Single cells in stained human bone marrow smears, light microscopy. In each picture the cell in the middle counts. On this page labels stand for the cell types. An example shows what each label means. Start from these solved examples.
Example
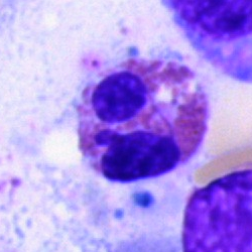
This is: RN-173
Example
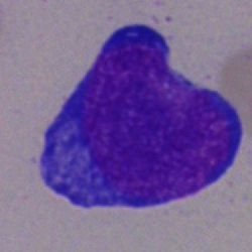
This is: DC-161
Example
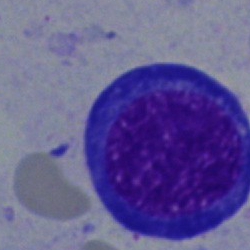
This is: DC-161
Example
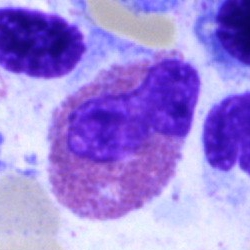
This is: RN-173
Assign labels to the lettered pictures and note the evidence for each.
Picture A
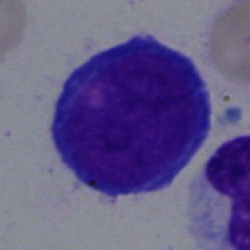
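DC-161. Reason: The nuclear chromatin looks finely textured rather than clumped into coarse dark blocks.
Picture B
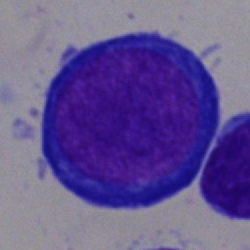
DC-161. Reason: The cytoplasm forms only a thin rim around the nucleus.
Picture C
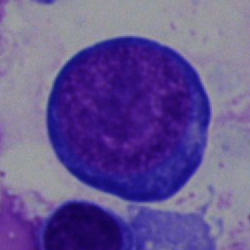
DC-161. Reason: The chromatin is finely textured rather than coarsely clumped.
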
